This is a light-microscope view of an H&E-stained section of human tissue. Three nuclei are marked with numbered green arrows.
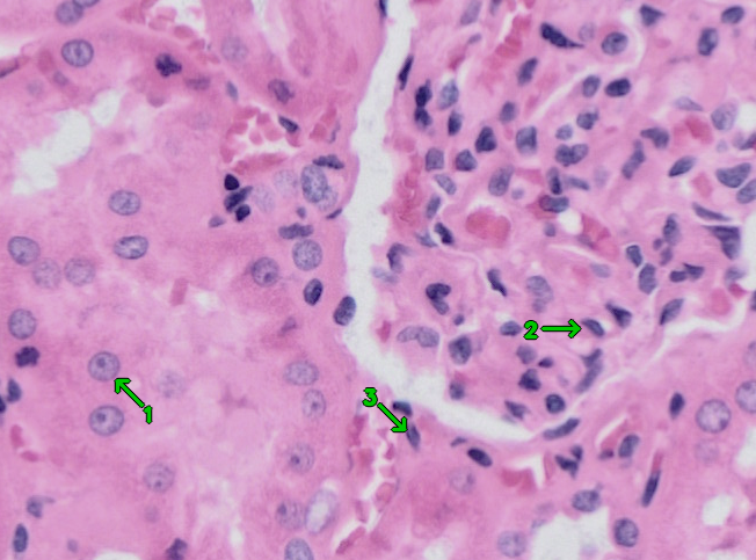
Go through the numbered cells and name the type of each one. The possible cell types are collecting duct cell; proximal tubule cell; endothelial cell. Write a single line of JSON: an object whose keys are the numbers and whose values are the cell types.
{"1": "proximal tubule cell", "2": "endothelial cell", "3": "endothelial cell"}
